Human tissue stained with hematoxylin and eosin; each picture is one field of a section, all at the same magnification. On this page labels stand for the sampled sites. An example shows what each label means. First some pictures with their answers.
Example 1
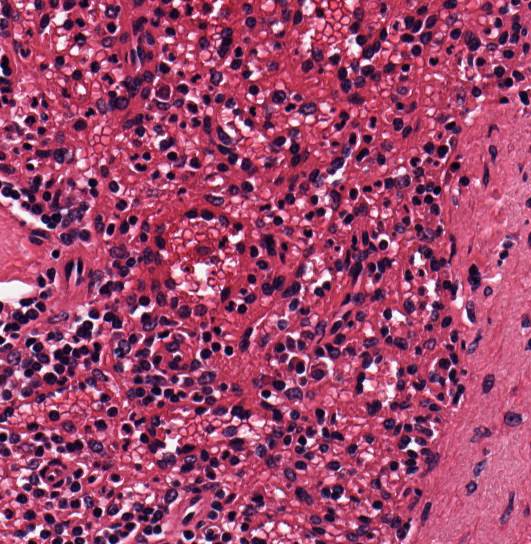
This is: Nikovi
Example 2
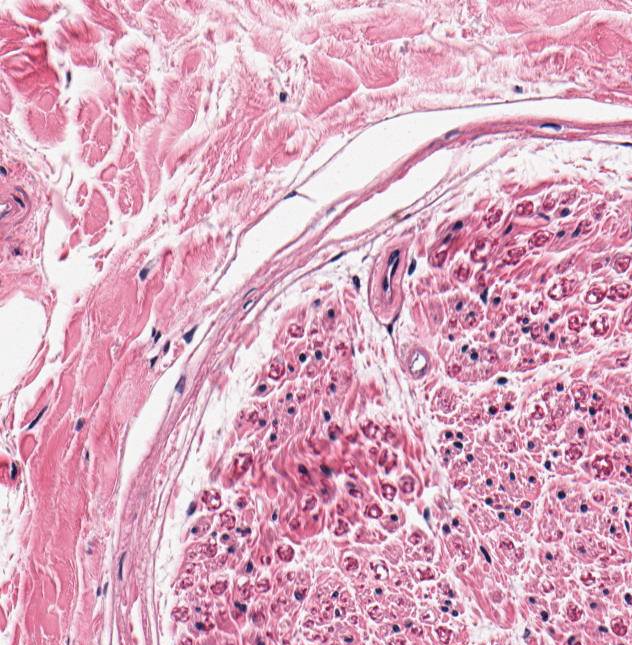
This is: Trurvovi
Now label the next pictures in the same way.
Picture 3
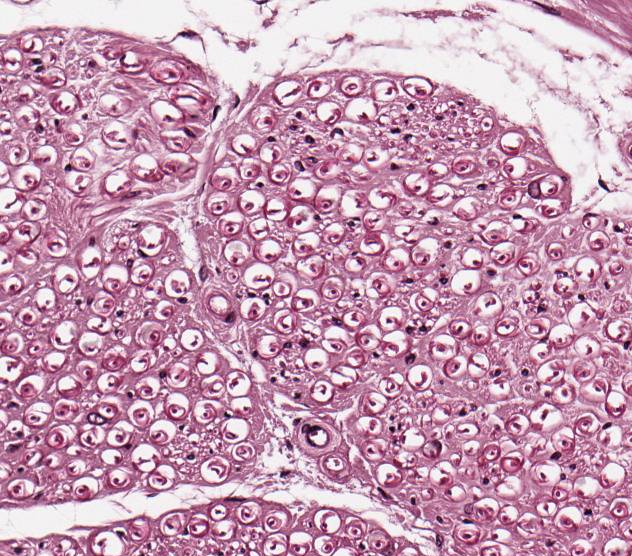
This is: Trurvovi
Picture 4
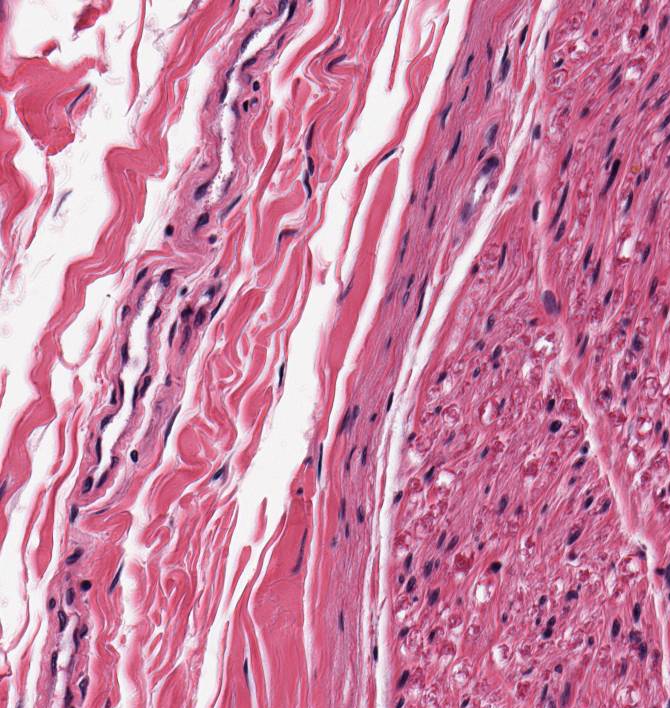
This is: Trurvovi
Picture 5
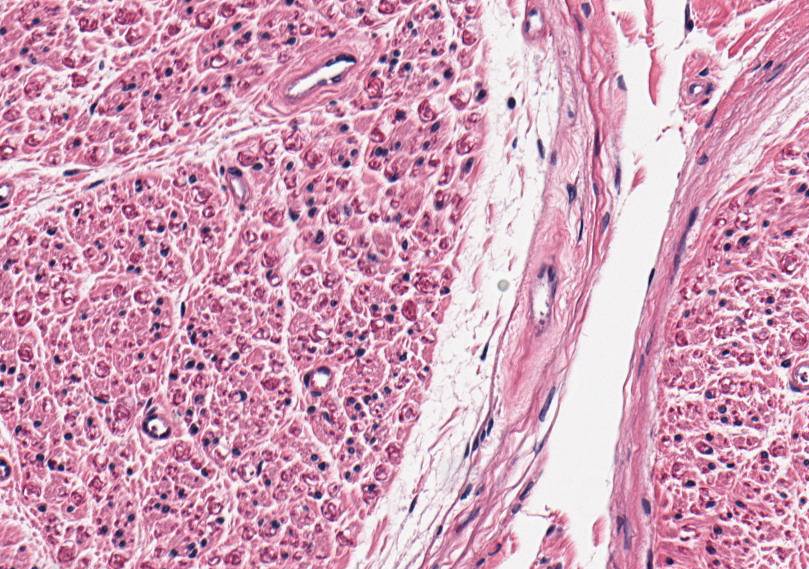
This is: Trurvovi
